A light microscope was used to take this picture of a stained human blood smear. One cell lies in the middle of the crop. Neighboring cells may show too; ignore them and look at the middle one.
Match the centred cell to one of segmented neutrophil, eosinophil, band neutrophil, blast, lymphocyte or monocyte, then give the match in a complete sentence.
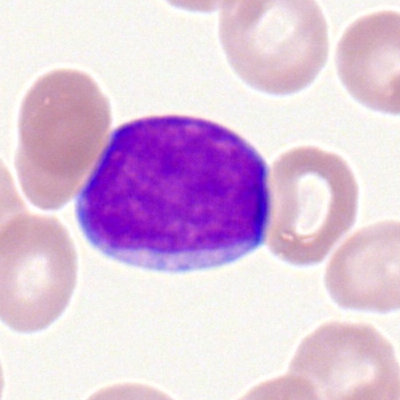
Regarding the central cell, it is a blast.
